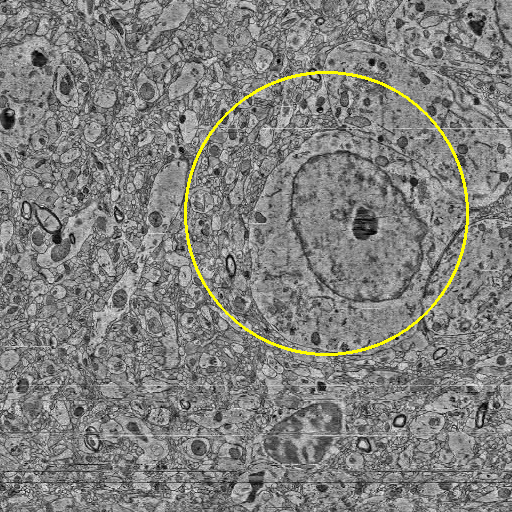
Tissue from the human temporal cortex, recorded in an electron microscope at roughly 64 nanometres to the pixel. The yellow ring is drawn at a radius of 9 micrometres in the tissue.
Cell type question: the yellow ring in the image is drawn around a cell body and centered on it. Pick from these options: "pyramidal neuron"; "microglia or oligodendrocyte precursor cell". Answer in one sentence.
The ringed cell at the center is a pyramidal neuron.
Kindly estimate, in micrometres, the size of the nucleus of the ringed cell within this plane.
In this plane, the nucleus is roughly 11 by 8 micrometres.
